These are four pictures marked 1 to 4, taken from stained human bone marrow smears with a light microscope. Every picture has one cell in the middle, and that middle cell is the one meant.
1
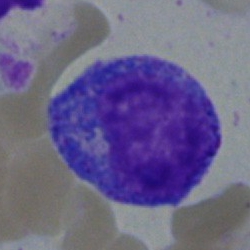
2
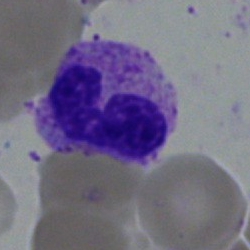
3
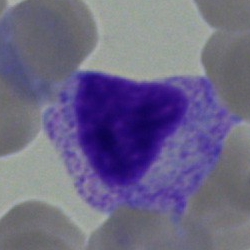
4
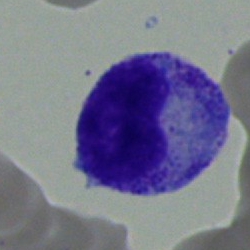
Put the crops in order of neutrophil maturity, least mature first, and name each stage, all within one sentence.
The order of increasing maturity among the crops is crop 1 (a promyelocyte), crop 3 (a myelocyte), crop 4 (a metamyelocyte) and crop 2 (a band neutrophil).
